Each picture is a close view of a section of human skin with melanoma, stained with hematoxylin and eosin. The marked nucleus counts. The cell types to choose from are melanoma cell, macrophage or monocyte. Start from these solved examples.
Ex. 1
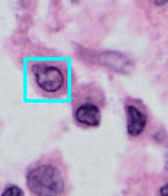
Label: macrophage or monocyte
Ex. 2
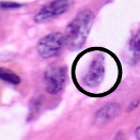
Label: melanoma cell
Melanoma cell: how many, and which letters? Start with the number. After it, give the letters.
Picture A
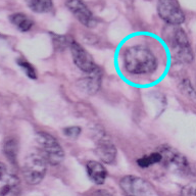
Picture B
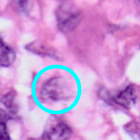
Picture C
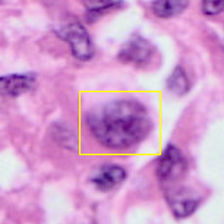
3: A, B, C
